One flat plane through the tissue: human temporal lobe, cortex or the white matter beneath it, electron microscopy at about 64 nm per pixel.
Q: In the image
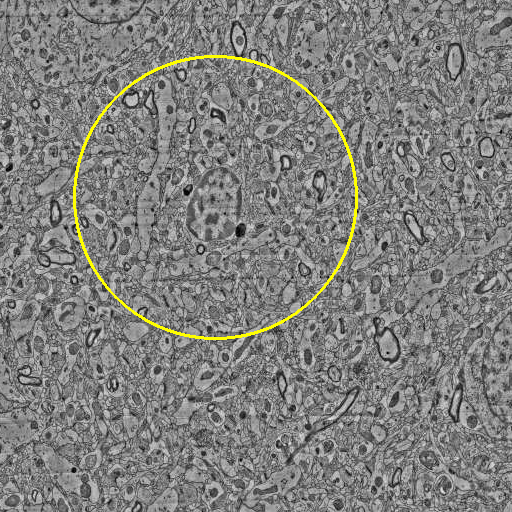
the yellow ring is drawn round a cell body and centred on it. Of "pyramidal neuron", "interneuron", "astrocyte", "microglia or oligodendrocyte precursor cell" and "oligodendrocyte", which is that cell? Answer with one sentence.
The cell centred in the ring is a microglial cell or oligodendrocyte precursor cell.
